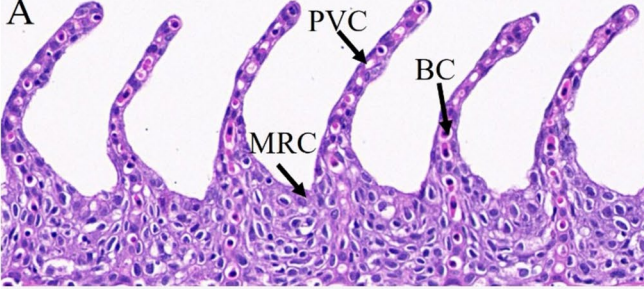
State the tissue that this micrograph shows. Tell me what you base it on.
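Thin, finger-like lamellae project in a regular row from a thicker cellular base. Each lamella is lined by a thin layer of flattened cells around central channels holding red-stained cells. On this evidence: gills.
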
